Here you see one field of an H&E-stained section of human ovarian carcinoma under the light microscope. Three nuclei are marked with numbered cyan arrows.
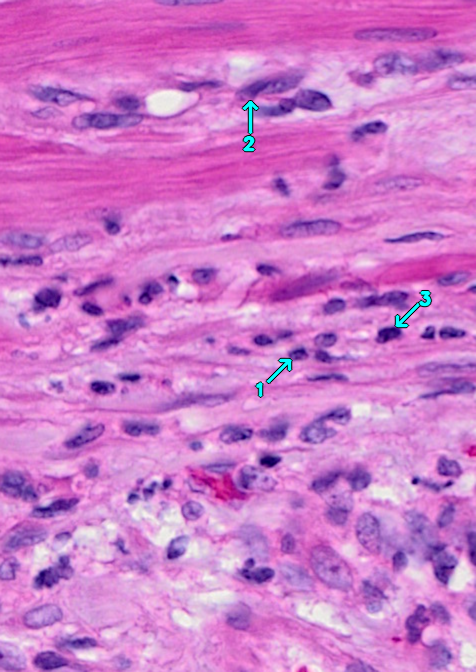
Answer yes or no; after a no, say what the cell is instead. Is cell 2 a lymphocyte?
No, it is an endothelial cell.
